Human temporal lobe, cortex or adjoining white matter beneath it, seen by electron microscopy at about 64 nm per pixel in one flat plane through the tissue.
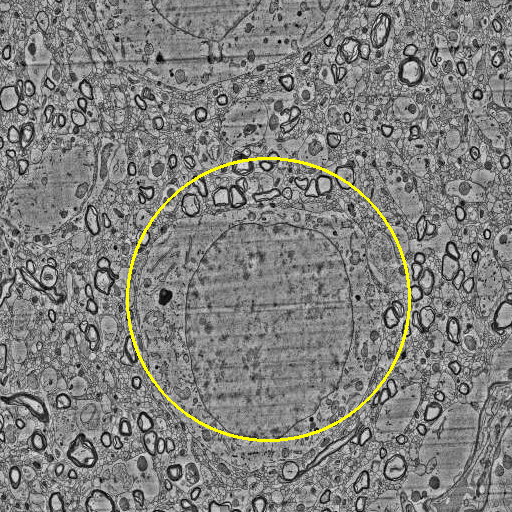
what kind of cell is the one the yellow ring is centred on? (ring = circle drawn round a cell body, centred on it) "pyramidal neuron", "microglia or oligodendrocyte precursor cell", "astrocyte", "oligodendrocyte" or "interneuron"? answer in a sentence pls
The ring is drawn around a pyramidal neuron.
